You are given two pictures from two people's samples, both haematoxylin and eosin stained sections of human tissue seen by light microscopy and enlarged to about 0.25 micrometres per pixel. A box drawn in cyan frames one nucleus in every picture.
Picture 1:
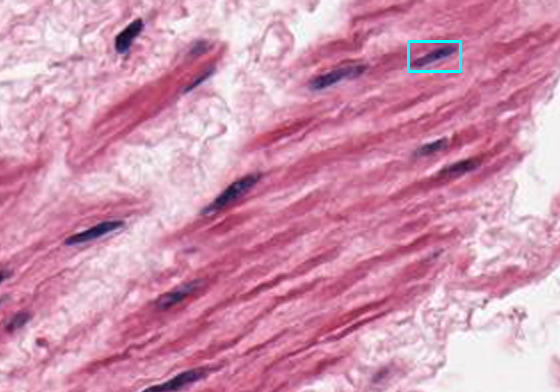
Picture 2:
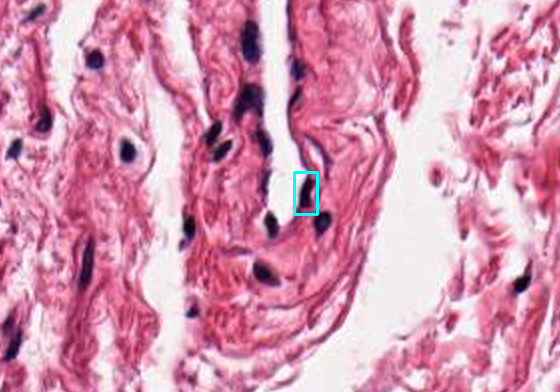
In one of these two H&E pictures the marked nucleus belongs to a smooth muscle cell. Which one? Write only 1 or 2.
1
